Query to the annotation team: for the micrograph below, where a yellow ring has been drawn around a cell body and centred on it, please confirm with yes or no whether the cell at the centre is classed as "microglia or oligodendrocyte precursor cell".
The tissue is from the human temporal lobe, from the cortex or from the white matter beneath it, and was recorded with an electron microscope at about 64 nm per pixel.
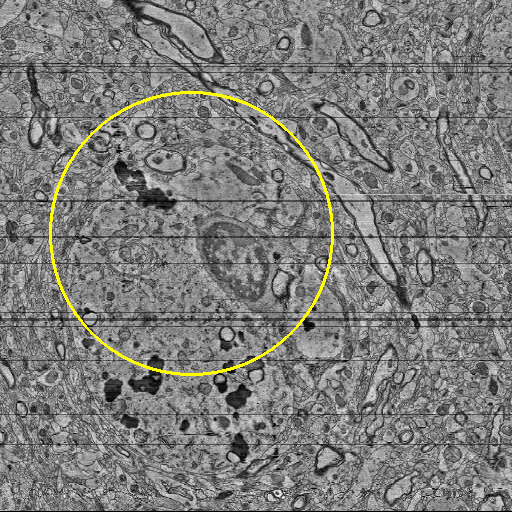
No, it belongs to another class.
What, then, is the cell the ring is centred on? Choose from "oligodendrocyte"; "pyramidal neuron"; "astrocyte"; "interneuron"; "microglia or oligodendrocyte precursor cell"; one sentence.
The cell at the middle of the ring is an oligodendrocyte.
